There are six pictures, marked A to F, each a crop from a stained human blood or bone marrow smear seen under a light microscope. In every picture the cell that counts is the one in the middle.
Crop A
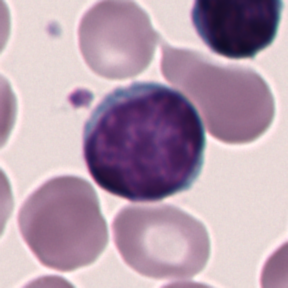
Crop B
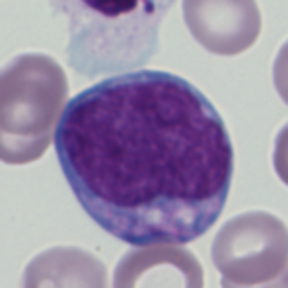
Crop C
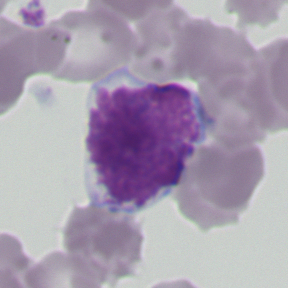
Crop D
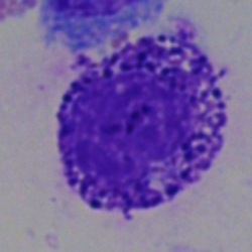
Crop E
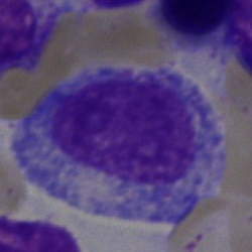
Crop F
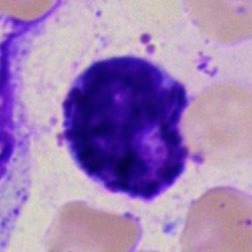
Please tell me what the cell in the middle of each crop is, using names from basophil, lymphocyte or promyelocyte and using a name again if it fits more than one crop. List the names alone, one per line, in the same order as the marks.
lymphocyte
promyelocyte
lymphocyte
basophil
promyelocyte
basophil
